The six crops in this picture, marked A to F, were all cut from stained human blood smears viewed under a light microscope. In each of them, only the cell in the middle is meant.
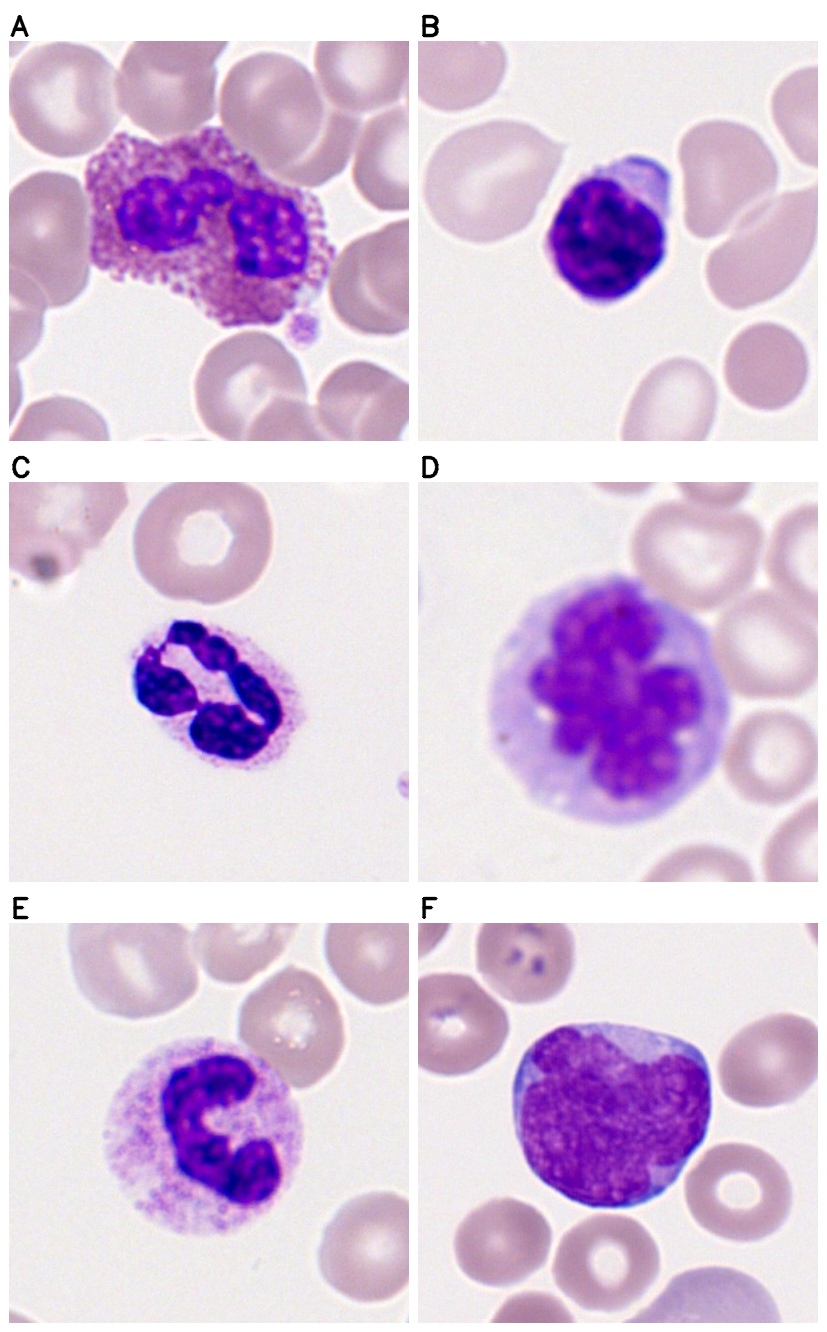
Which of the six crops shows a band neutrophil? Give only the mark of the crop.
E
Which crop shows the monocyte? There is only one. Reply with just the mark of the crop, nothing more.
D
